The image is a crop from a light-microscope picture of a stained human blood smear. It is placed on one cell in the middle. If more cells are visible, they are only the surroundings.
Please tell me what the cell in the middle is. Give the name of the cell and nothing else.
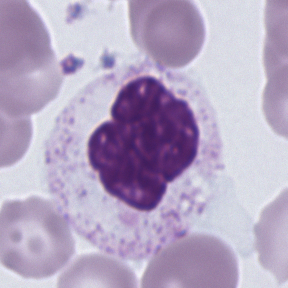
segmented neutrophil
